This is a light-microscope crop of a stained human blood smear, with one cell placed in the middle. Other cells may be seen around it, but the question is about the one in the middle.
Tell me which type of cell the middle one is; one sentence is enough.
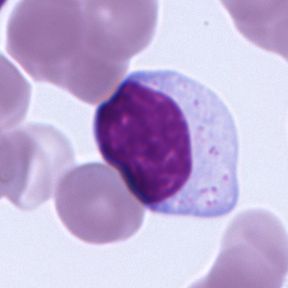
The central cell in this smear crop is a large granular lymphocyte.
